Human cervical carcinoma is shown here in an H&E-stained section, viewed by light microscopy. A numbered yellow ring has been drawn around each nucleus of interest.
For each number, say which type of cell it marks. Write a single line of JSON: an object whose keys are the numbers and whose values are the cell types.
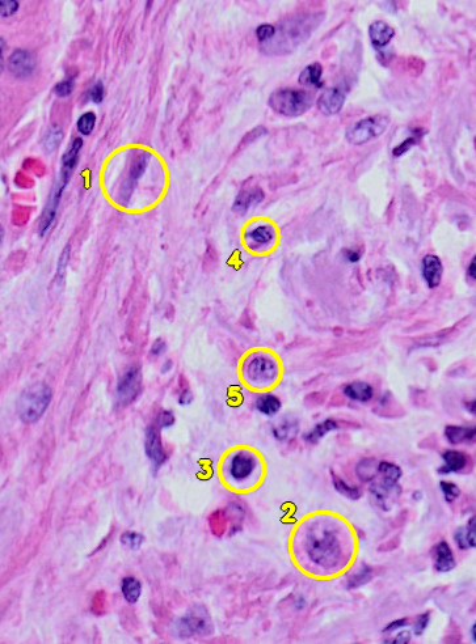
{"1": "fibroblast", "2": "macrophage or monocyte", "3": "lymphocyte", "4": "lymphocyte", "5": "macrophage or monocyte"}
